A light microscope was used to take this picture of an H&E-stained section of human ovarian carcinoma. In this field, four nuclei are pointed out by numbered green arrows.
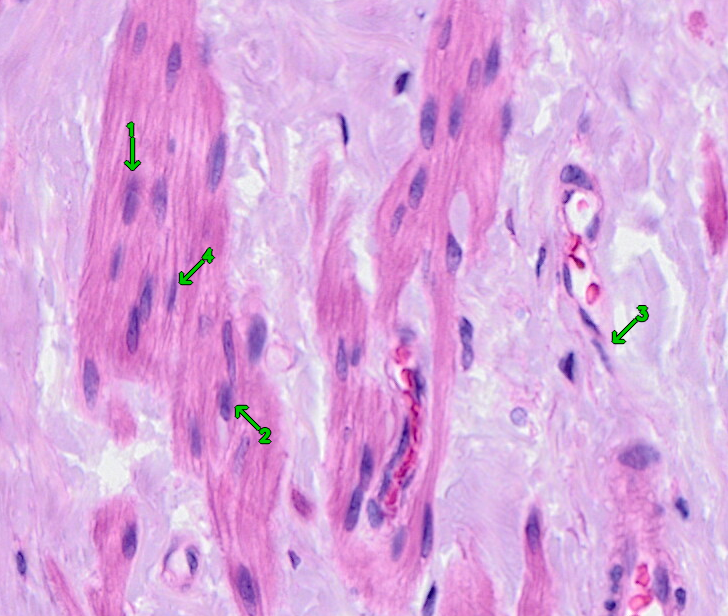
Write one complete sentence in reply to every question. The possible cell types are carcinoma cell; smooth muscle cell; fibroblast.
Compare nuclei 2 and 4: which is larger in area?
The larger nucleus is 2, at roughly 1.5 times the area of 4.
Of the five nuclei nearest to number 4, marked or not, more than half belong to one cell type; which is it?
Around number 4, most of the five nearest nuclei are those of smooth muscle cells.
